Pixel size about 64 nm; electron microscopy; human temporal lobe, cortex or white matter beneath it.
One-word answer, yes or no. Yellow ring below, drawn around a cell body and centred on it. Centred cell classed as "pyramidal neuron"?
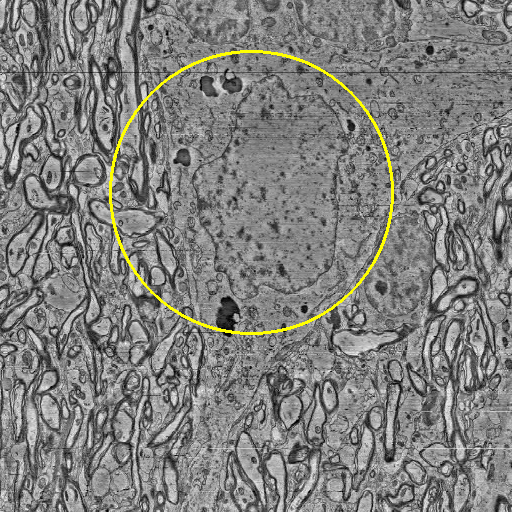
yes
